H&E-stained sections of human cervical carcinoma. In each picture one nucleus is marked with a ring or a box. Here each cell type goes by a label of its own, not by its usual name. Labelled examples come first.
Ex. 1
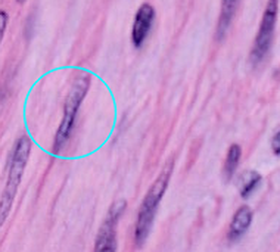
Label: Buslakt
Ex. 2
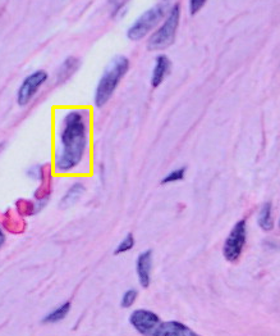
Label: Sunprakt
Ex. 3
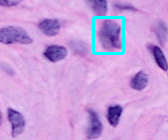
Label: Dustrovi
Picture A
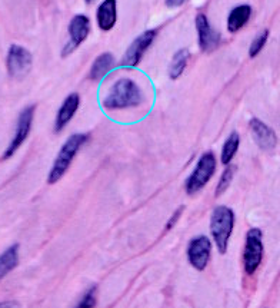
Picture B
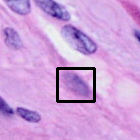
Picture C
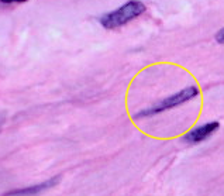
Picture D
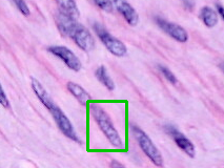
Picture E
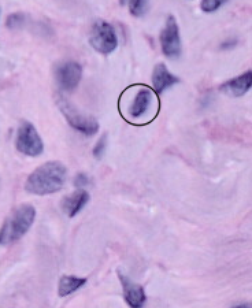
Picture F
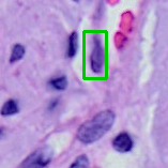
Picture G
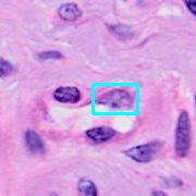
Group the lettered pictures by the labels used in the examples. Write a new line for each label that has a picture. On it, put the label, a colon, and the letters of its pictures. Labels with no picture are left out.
Buslakt: D
Sunprakt: B, F, G
Dustrovi: A, C, E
